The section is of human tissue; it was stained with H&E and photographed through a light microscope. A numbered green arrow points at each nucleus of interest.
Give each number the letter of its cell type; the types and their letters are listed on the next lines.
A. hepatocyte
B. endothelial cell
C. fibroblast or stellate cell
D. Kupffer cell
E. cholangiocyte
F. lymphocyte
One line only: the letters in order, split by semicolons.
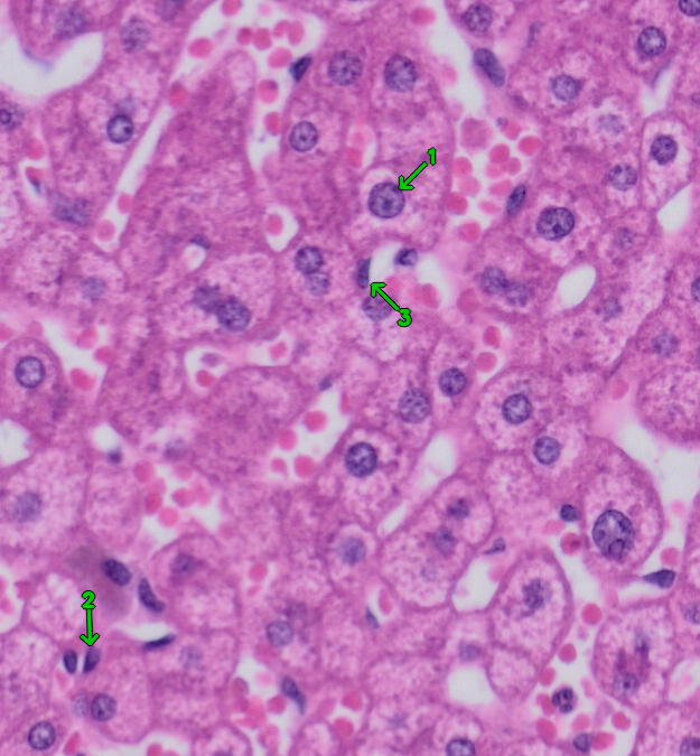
A; C; B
